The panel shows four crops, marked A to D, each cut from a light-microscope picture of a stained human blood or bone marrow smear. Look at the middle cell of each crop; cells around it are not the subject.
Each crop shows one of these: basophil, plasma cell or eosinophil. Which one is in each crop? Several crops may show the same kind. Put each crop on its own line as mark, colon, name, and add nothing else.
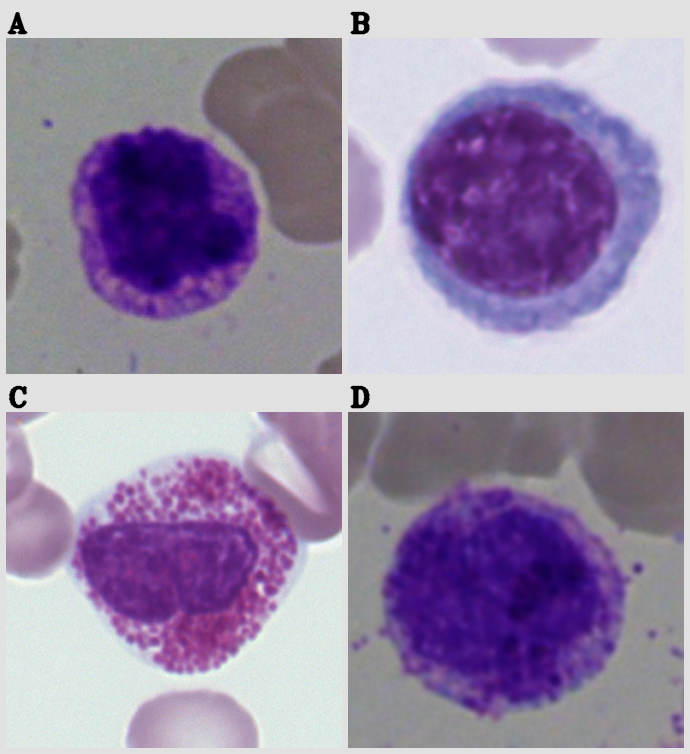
A: basophil
B: plasma cell
C: eosinophil
D: basophil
